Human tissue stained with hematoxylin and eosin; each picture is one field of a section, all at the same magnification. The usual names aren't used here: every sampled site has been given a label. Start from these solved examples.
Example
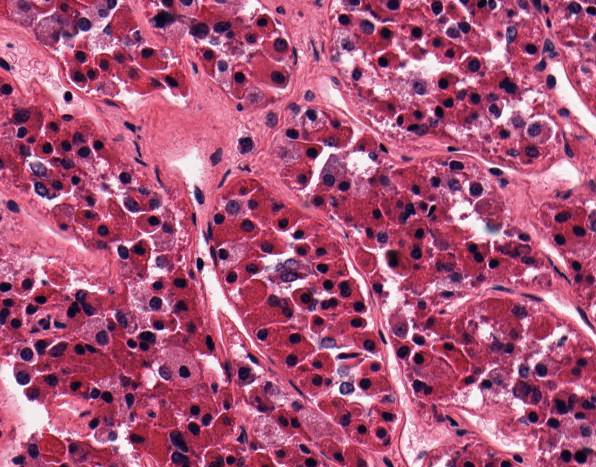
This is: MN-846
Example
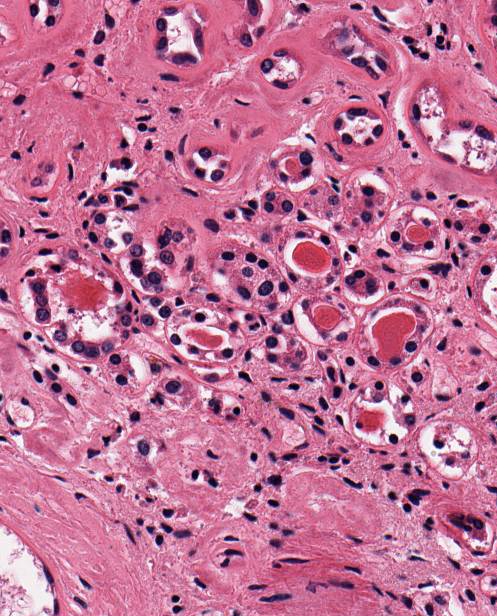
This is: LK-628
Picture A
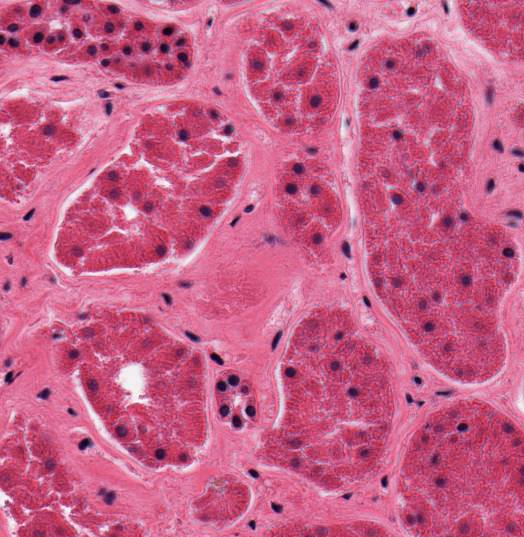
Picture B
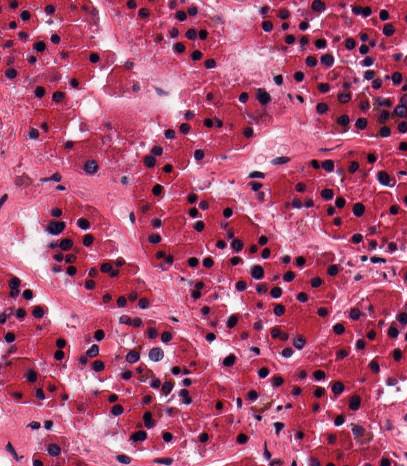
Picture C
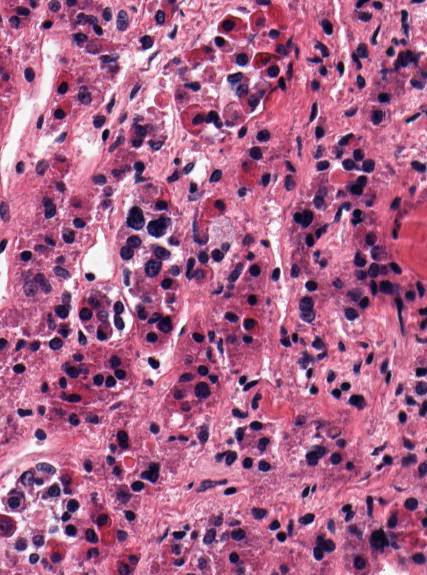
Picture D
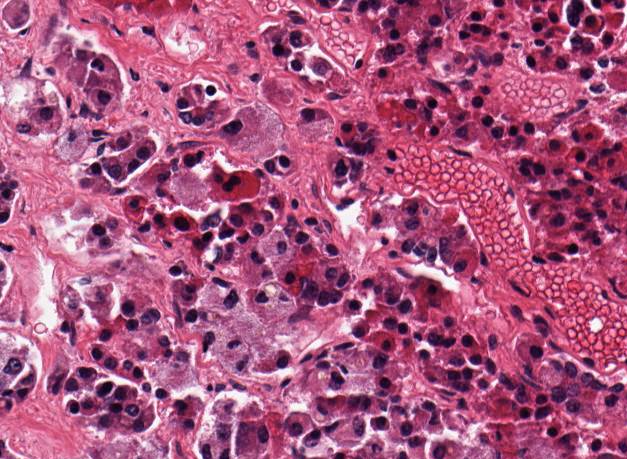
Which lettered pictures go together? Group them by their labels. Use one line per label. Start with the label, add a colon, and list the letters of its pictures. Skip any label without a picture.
MN-846: B, C, D
LK-628: A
